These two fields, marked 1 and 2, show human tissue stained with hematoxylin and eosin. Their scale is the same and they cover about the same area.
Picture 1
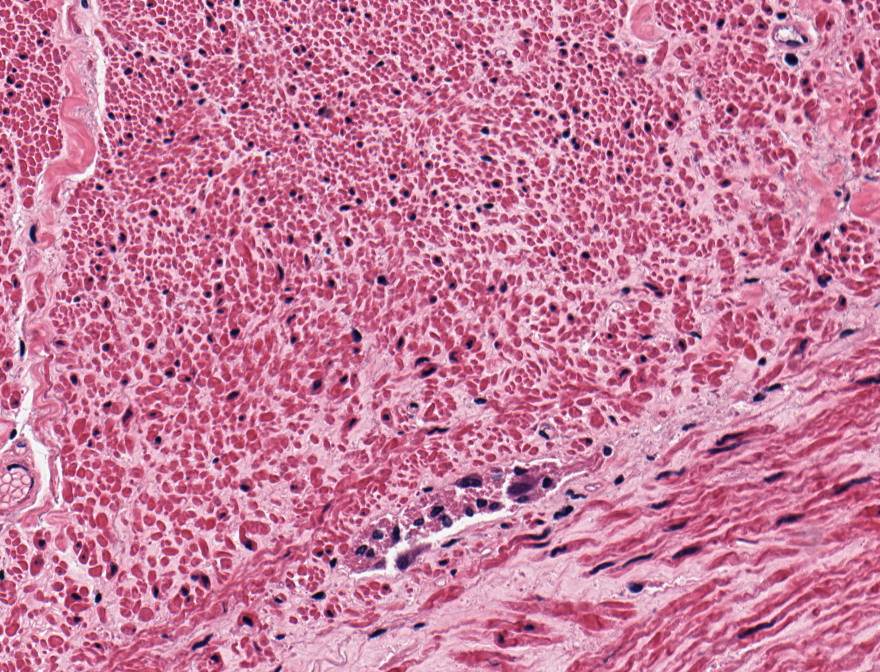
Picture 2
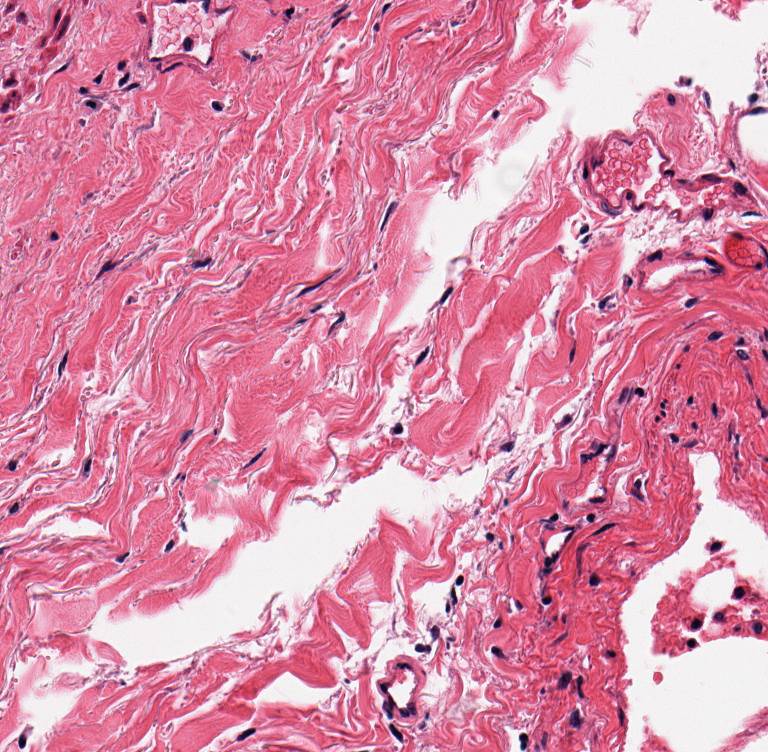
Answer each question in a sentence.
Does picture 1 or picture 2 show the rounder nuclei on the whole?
On the whole the nuclei of picture 1 are rounder than those of picture 2.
